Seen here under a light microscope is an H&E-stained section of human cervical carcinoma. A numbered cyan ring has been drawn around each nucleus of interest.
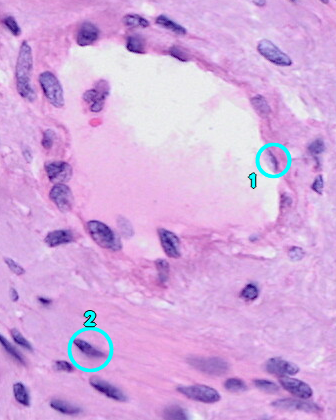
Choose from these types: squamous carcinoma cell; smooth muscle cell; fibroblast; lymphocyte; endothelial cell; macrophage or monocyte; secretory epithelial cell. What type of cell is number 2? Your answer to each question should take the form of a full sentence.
Among the marked nuclei, number 2 belongs to a fibroblast.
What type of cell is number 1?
Cell 1 in the field is an endothelial cell.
